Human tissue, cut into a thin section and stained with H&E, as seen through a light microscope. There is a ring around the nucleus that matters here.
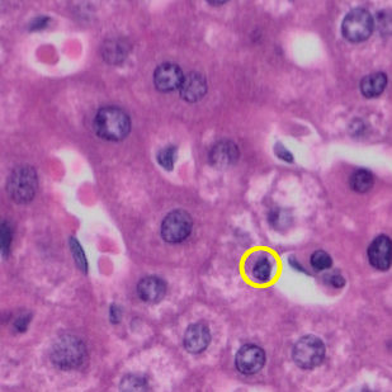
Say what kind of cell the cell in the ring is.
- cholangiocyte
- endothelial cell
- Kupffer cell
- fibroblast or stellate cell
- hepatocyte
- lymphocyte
fibroblast or stellate cell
